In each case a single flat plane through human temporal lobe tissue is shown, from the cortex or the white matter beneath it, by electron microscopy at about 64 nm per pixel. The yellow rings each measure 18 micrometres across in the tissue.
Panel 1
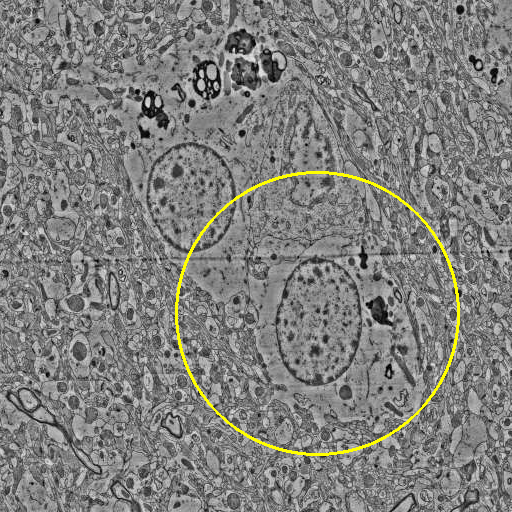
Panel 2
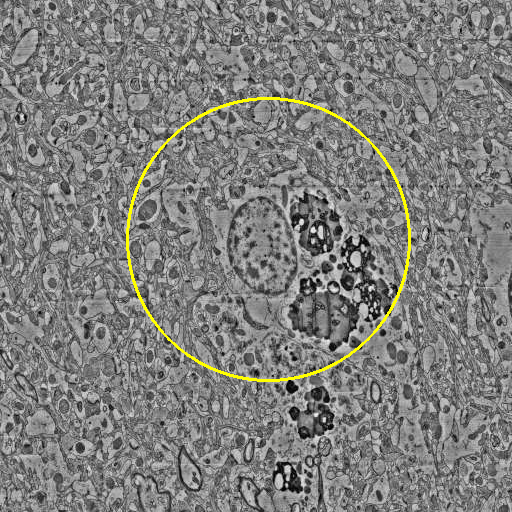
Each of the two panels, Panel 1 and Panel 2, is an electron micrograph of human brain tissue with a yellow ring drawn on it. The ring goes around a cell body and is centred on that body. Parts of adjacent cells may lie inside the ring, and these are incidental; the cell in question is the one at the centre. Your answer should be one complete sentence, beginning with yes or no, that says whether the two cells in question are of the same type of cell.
Yes, the two cells are of the same type.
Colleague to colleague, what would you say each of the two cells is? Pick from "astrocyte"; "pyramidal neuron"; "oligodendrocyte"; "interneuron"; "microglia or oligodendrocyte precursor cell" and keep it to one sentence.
In the first picture and in the second, the ring is centred on an astrocyte.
